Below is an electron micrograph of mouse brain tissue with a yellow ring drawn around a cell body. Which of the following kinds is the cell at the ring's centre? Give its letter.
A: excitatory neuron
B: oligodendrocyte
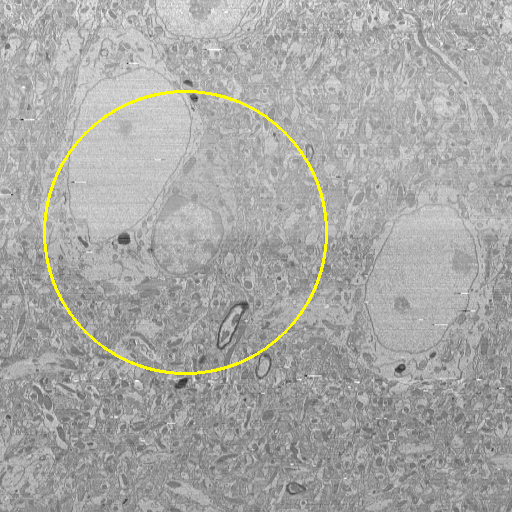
B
